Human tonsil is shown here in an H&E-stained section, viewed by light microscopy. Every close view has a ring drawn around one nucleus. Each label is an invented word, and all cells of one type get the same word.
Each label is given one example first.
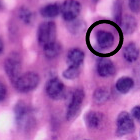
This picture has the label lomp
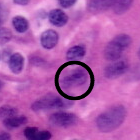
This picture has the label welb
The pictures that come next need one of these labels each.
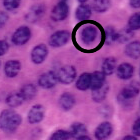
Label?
lomp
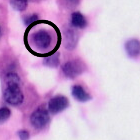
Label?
lomp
